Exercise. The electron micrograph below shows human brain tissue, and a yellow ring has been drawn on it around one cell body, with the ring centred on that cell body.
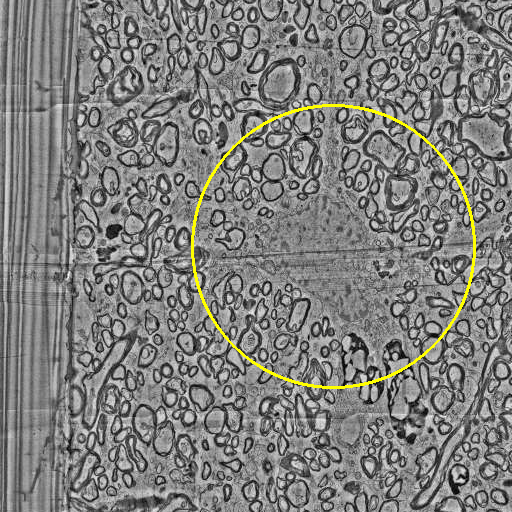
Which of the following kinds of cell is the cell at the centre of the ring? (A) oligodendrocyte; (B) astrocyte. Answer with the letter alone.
B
